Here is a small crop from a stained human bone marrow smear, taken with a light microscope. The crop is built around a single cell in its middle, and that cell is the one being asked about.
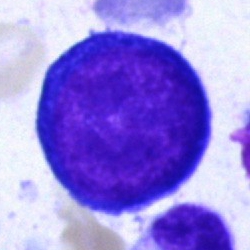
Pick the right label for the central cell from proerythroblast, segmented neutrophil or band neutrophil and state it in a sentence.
Present in the middle of the crop is a proerythroblast.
